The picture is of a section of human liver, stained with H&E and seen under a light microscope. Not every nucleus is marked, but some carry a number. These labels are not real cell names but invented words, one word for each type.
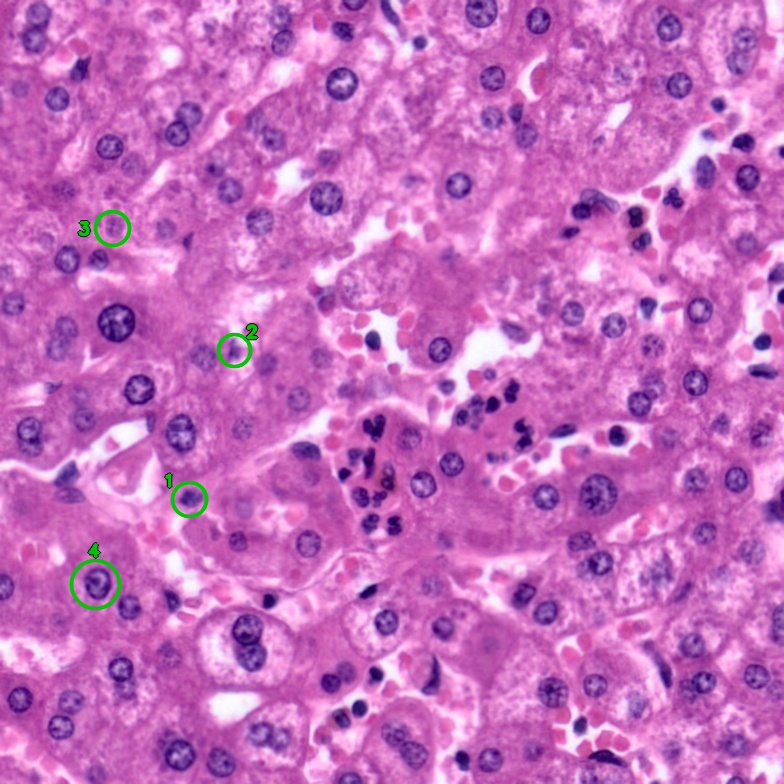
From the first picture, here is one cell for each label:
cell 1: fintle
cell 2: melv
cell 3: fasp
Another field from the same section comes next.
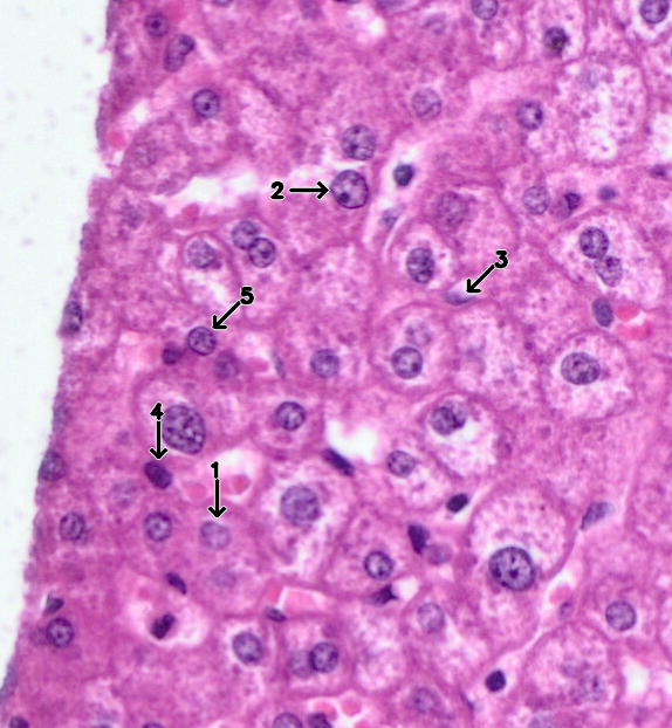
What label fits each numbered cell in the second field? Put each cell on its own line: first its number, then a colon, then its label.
1: fasp
2: fasp
3: melv
4: fintle
5: fasp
